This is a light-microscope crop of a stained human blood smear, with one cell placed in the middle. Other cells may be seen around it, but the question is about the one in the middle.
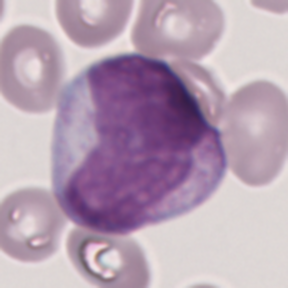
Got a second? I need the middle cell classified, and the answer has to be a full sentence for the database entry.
Classified as an atypical promyelocyte is the cell in the middle of this crop.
